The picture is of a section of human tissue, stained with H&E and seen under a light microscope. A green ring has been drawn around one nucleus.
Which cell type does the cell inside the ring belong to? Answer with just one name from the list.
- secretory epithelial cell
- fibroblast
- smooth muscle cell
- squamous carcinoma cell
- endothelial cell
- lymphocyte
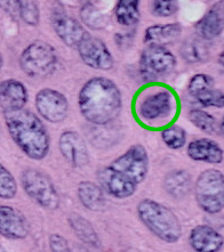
squamous carcinoma cell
